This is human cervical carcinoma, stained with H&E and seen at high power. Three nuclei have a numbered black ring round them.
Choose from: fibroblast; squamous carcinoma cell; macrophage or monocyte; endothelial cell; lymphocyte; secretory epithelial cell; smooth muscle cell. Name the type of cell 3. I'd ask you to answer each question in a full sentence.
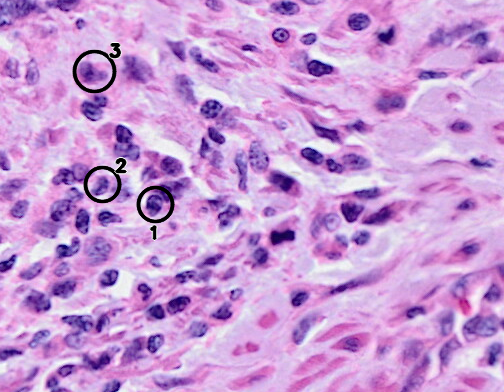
The marked nucleus 3 is that of a macrophage or monocyte.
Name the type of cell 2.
Cell 2, among those numbered, is a lymphocyte.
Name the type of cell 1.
The cell marked with the number 1 is a lymphocyte.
